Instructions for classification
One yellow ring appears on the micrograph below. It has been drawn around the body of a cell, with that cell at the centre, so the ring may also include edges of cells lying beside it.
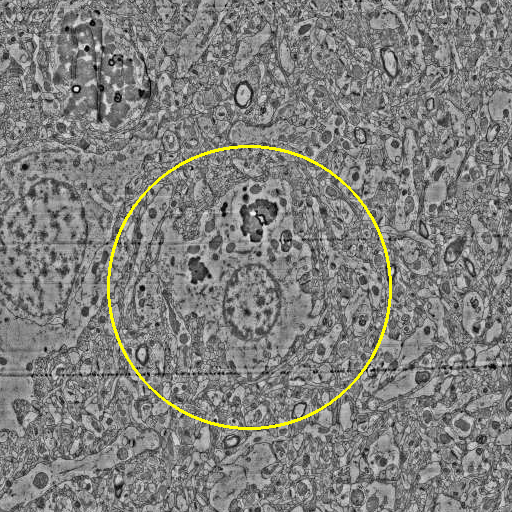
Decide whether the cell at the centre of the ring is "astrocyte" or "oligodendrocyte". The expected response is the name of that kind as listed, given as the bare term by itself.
astrocyte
